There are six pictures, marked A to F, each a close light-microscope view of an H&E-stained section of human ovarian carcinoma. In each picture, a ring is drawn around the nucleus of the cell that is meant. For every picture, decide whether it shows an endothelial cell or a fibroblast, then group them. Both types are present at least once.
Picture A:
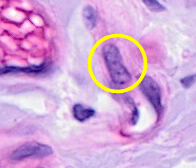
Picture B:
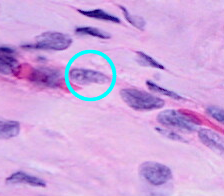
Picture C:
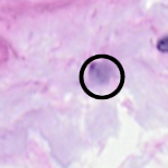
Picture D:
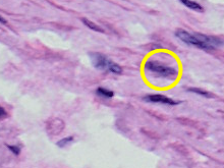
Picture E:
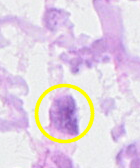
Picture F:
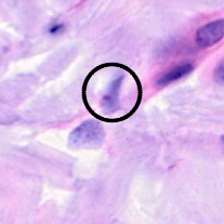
A: endothelial cell
B: endothelial cell
C: fibroblast
D: fibroblast
E: fibroblast
F: fibroblast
